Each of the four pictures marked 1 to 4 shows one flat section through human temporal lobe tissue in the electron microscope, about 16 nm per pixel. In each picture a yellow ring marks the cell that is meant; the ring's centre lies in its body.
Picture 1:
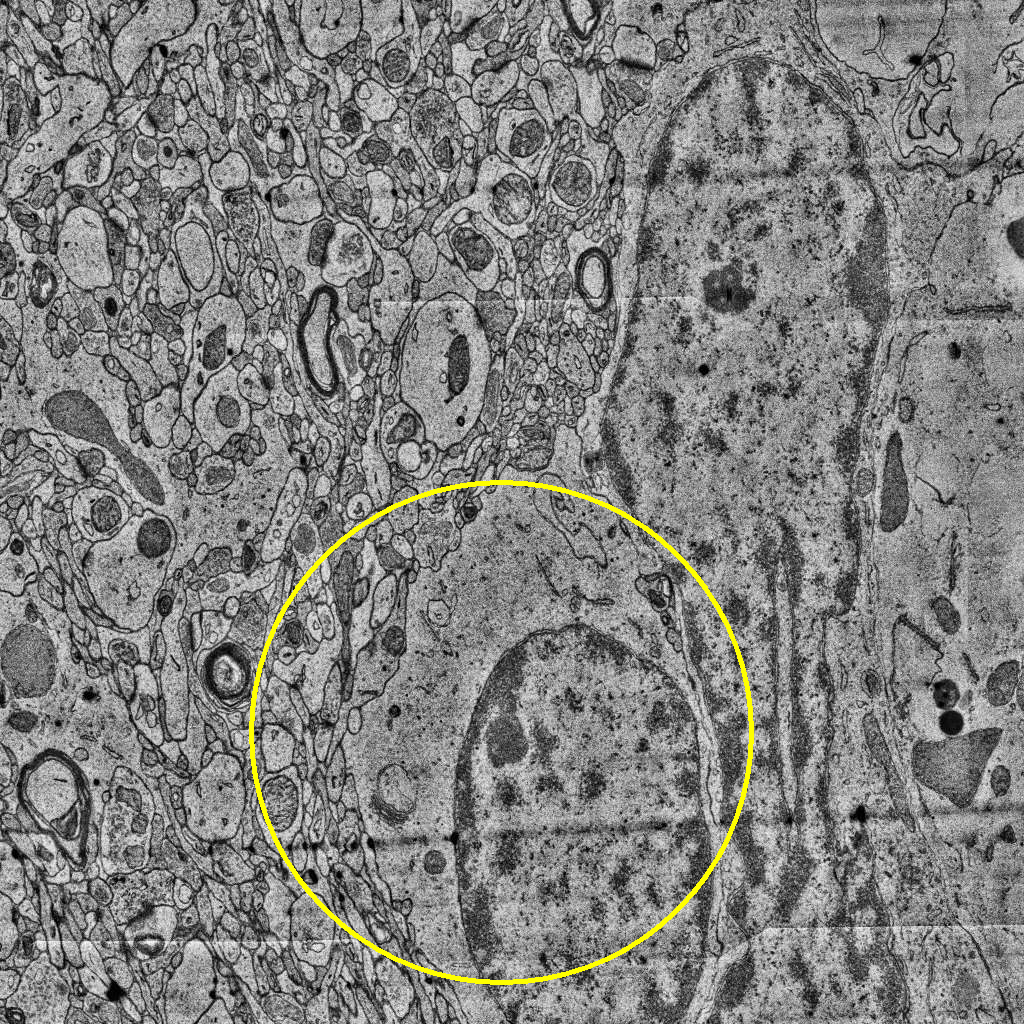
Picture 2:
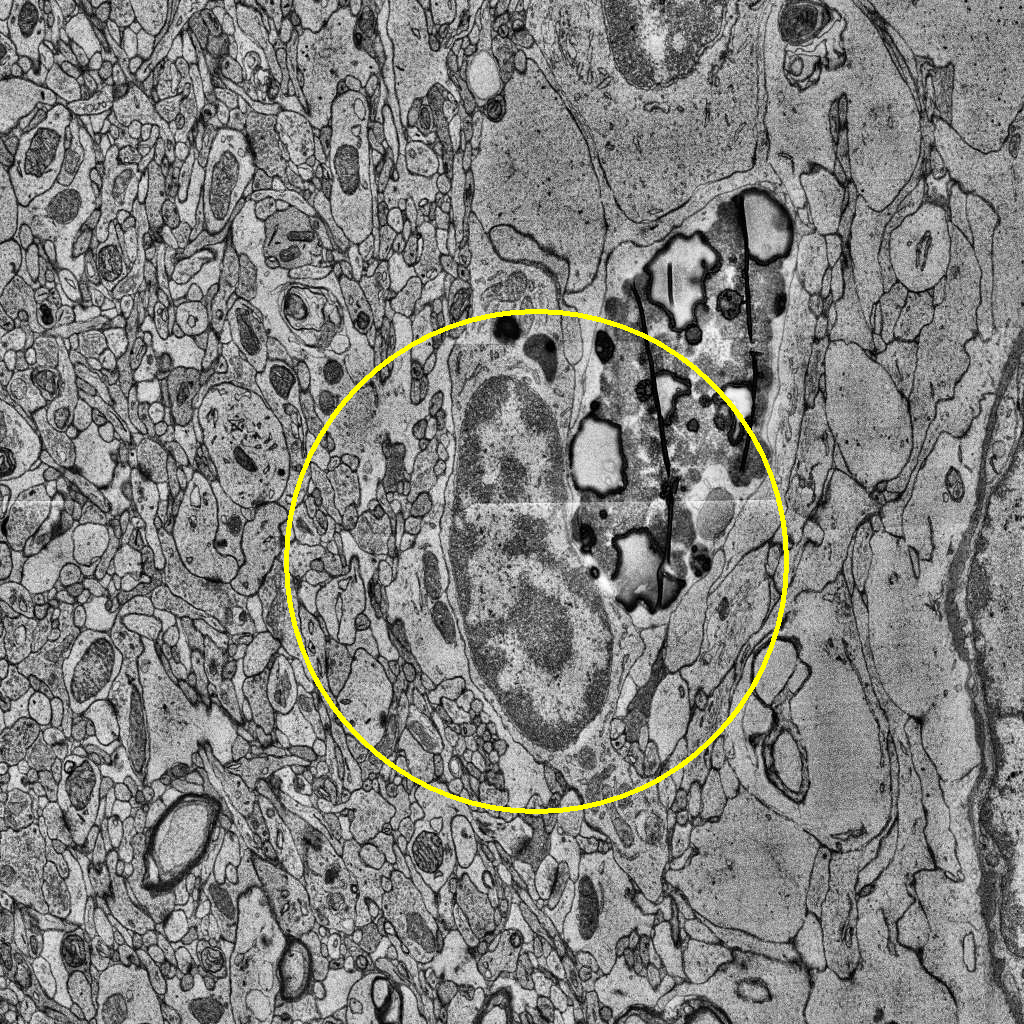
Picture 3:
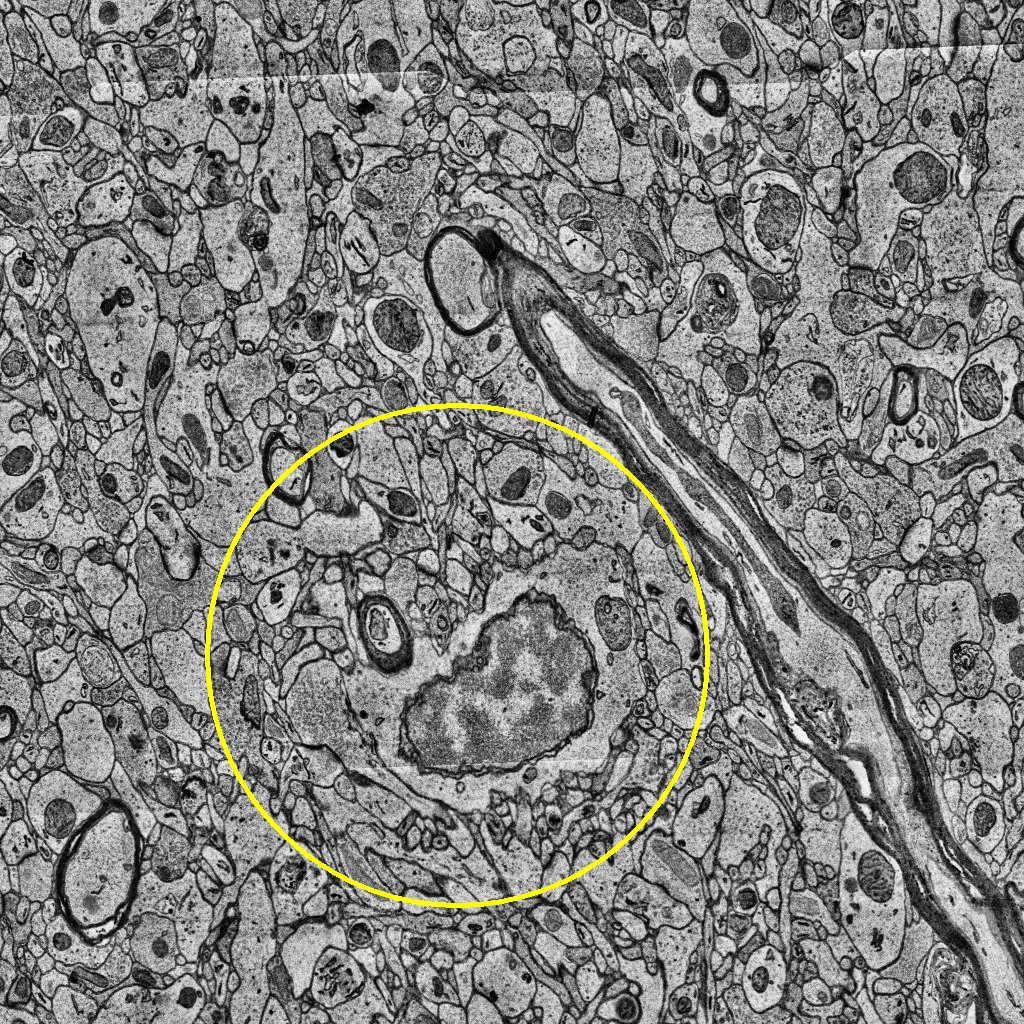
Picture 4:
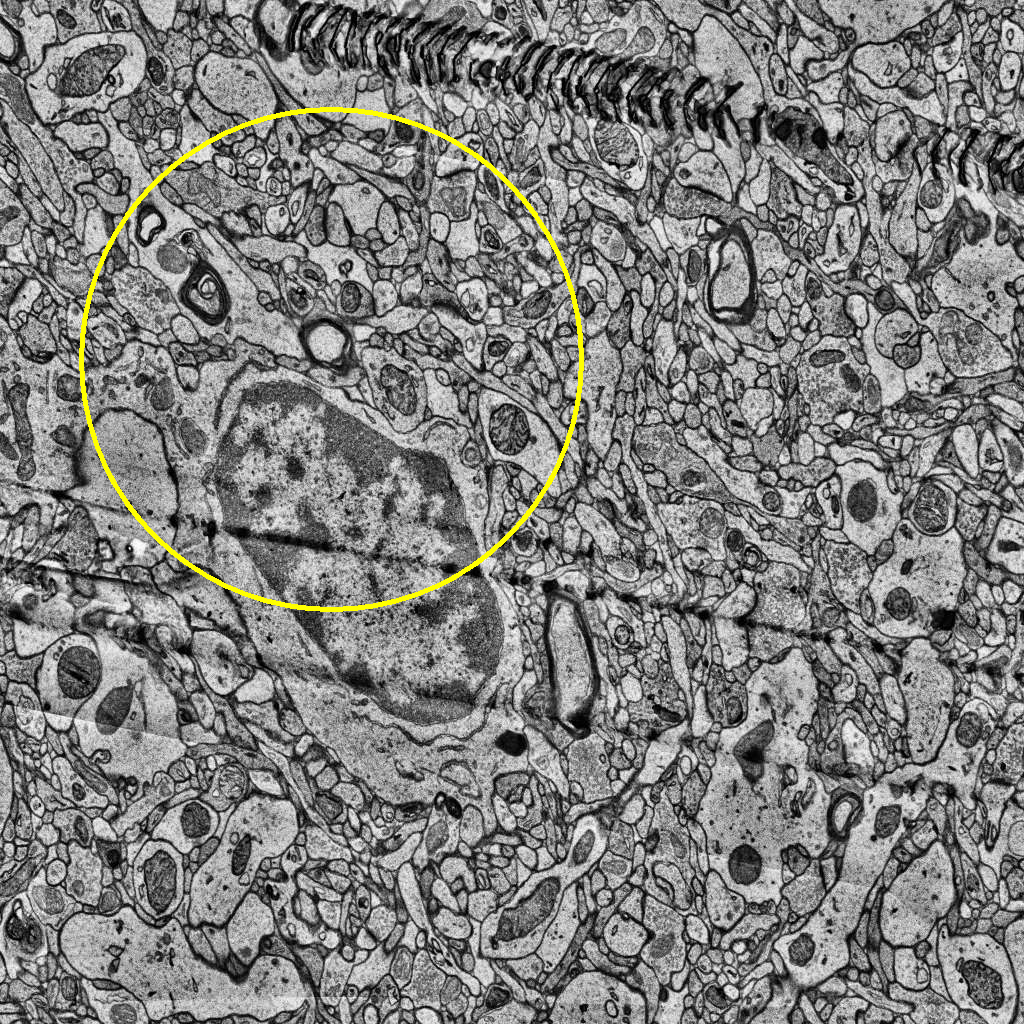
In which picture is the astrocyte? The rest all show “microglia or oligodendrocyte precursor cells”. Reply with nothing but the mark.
1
